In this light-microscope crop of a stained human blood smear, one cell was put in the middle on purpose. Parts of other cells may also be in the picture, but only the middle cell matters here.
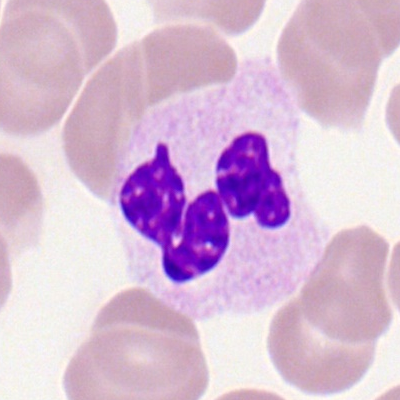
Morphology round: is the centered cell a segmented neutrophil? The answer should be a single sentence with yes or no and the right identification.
Yes, in the centre of this field sits a segmented neutrophil.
